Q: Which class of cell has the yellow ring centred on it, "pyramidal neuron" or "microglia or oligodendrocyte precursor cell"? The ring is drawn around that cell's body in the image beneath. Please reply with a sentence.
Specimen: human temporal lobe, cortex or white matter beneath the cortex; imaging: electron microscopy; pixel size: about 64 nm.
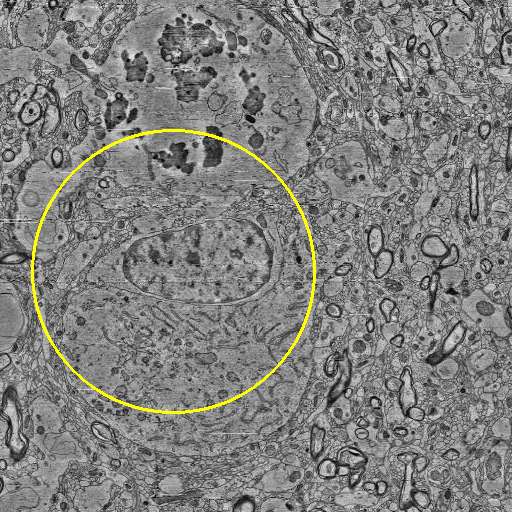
It is centred on a microglial cell or oligodendrocyte precursor cell.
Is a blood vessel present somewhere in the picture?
Yes, one is visible.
